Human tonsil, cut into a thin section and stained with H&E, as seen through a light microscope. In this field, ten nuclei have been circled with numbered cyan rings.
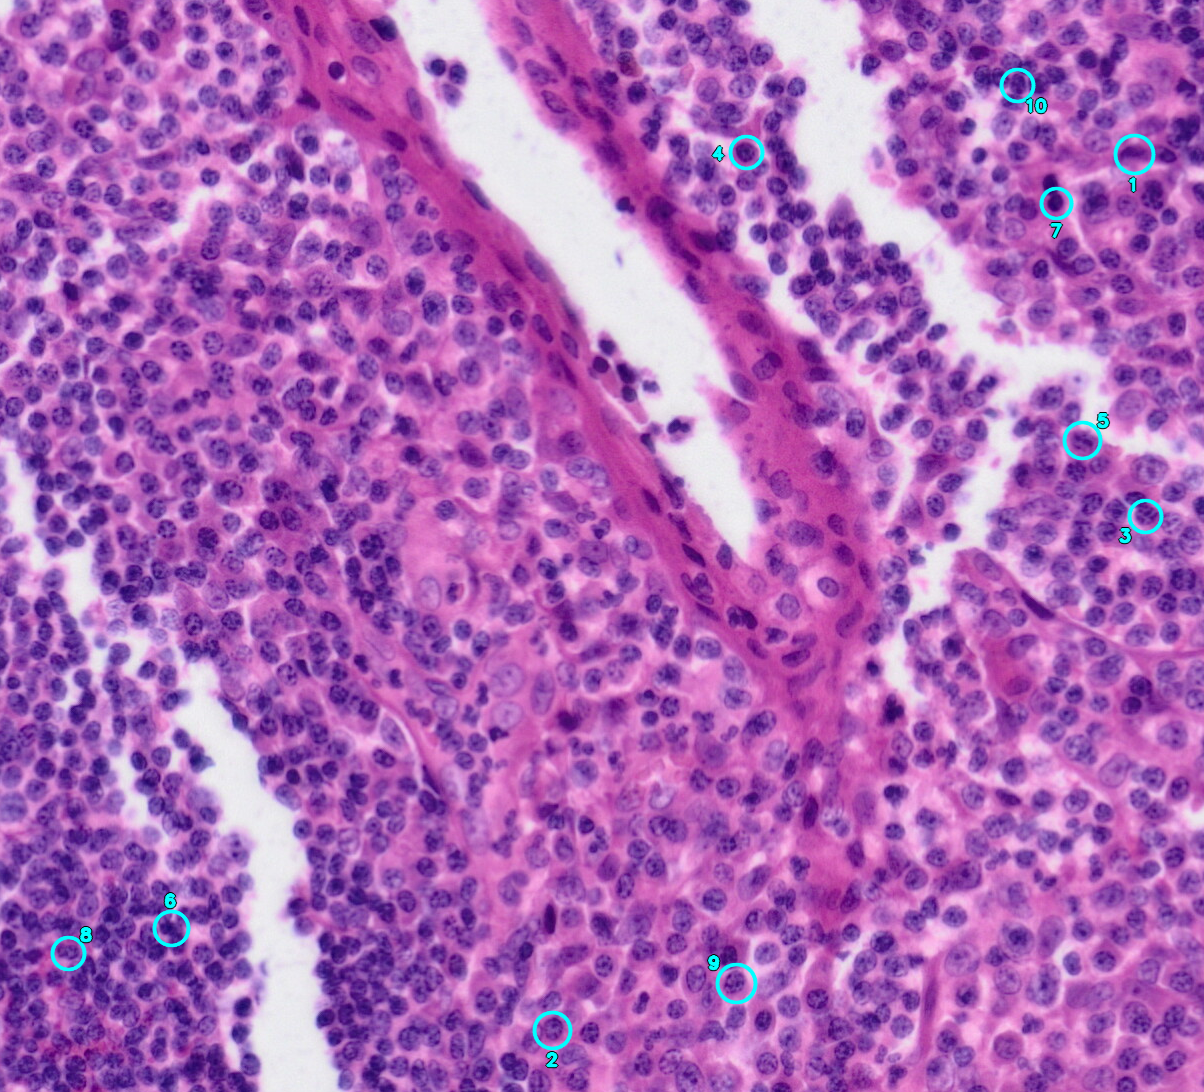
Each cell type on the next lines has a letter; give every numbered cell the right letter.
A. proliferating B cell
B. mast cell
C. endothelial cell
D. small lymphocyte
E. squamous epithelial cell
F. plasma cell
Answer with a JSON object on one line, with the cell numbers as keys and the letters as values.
{"1": "E", "2": "F", "3": "F", "4": "F", "5": "F", "6": "D", "7": "F", "8": "D", "9": "F", "10": "D"}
